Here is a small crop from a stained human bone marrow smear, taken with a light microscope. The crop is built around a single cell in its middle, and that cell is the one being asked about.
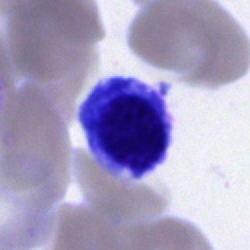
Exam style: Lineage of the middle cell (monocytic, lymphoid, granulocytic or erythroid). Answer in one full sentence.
Regarding lineage, the cell in the center of this crop should be listed as erythroid.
